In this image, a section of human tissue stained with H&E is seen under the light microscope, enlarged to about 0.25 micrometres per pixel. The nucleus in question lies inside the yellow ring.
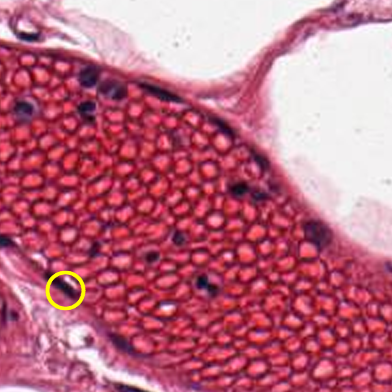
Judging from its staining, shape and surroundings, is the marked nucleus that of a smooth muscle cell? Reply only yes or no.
no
